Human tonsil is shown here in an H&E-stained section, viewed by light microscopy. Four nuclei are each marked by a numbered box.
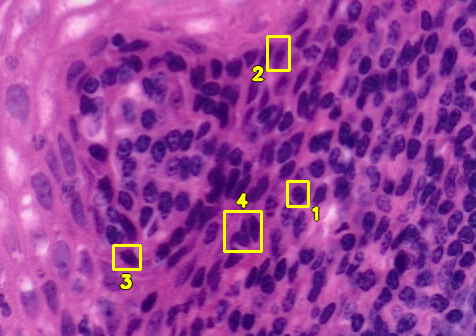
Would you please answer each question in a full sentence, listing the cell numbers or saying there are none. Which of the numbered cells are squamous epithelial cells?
In short, the numbered cells 2, 3 and 4 are squamous epithelial cells.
